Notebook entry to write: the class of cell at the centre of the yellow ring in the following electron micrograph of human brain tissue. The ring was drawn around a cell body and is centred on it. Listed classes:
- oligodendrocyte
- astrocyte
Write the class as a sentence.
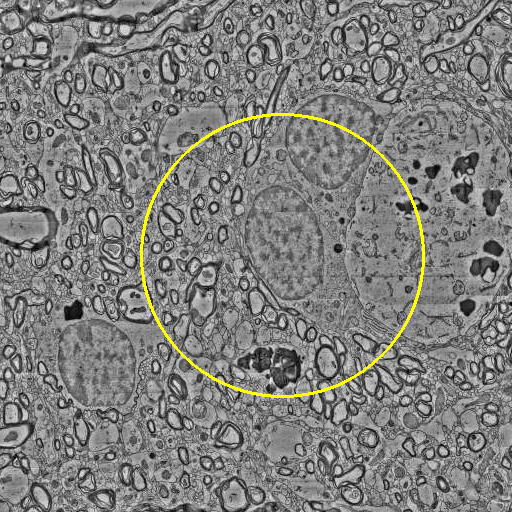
The yellow ring sits on an oligodendrocyte.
